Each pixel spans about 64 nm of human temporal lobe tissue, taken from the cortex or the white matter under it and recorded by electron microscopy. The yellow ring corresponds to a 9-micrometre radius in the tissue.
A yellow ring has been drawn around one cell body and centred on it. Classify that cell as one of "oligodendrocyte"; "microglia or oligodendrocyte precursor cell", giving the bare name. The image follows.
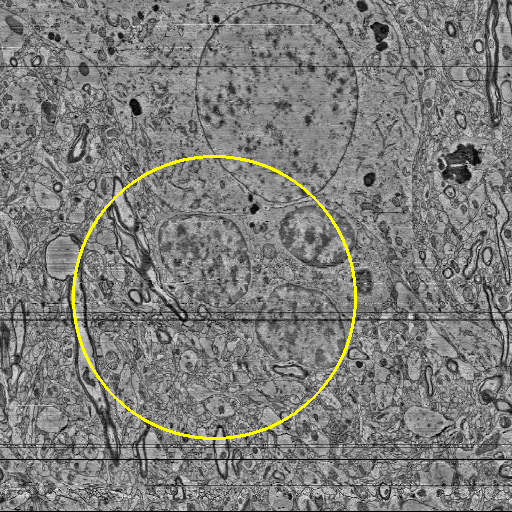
oligodendrocyte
